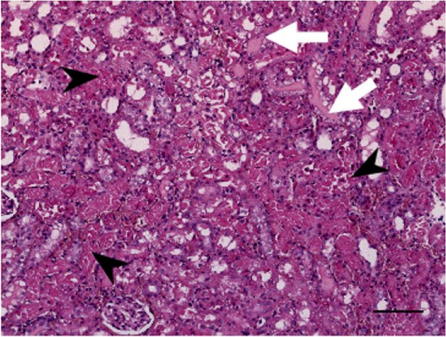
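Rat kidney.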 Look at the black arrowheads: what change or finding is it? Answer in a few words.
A: Tubular necrosis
